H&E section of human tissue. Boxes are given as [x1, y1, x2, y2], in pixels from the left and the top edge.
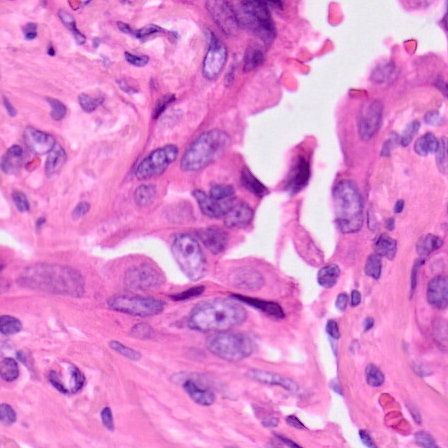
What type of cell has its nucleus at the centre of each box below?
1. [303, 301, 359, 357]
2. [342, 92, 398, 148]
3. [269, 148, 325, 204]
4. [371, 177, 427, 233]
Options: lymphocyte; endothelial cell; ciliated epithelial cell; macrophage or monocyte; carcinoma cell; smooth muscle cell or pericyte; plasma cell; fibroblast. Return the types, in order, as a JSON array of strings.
["lymphocyte", "carcinoma cell", "carcinoma cell", "lymphocyte"]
